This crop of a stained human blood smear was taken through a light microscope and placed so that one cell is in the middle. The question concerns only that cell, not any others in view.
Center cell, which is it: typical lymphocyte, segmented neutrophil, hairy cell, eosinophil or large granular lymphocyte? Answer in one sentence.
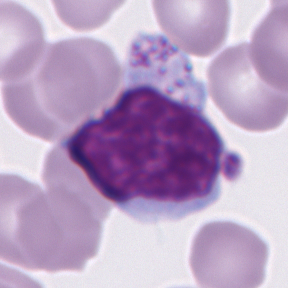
In the center of this field lies a large granular lymphocyte.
